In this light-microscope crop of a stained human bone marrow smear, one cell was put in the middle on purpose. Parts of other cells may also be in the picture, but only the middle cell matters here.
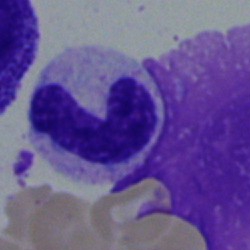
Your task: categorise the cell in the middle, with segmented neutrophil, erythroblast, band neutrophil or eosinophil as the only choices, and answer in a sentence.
For this crop, the central cell is a band neutrophil.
